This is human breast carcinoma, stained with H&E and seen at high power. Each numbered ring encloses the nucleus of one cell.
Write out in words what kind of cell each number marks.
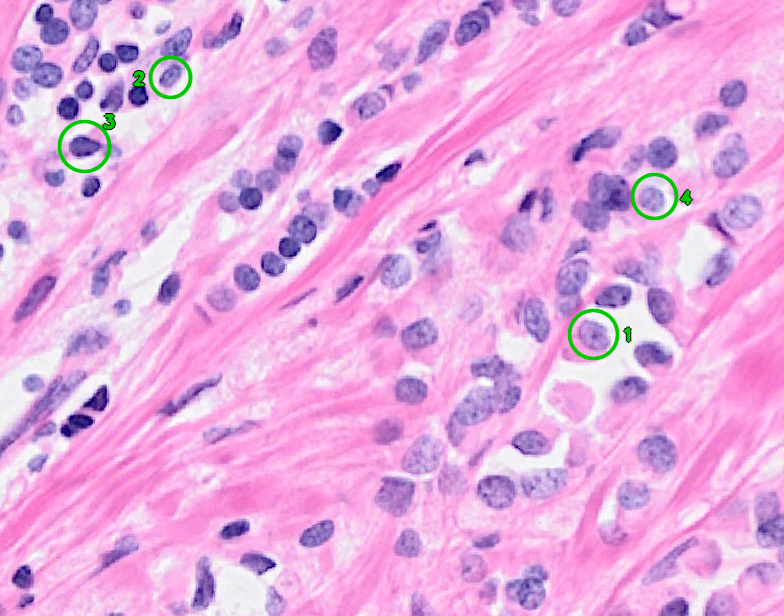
Cell 1 is a carcinoma cell, cell 2 is a lymphocyte, cell 3 is a lymphocyte and cell 4 is a carcinoma cell.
